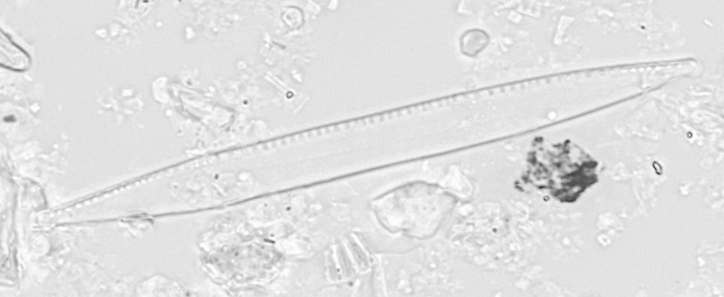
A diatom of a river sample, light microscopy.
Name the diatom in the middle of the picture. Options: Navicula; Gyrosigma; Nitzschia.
Nitzschia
